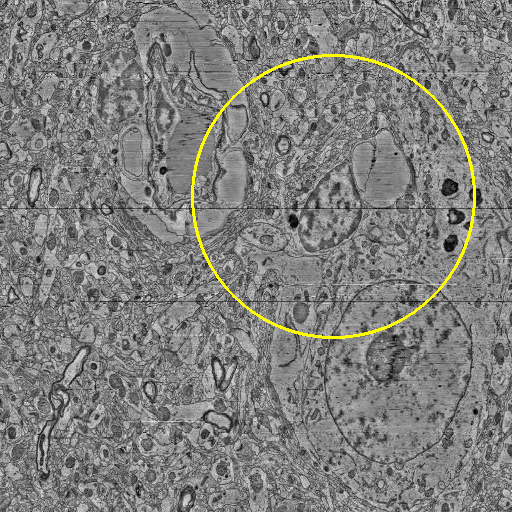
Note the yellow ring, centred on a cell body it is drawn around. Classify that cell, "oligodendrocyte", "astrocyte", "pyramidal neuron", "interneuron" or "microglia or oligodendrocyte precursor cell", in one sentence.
The cell the ring is centred on is a microglial cell or oligodendrocyte precursor cell.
